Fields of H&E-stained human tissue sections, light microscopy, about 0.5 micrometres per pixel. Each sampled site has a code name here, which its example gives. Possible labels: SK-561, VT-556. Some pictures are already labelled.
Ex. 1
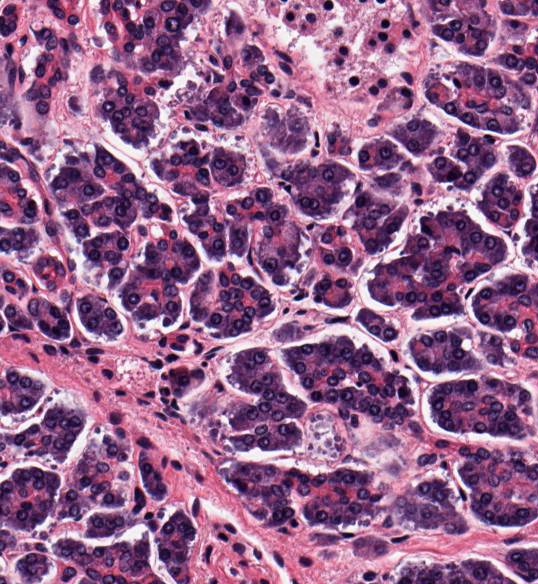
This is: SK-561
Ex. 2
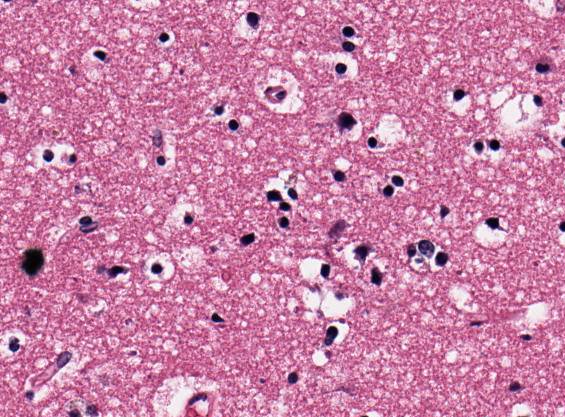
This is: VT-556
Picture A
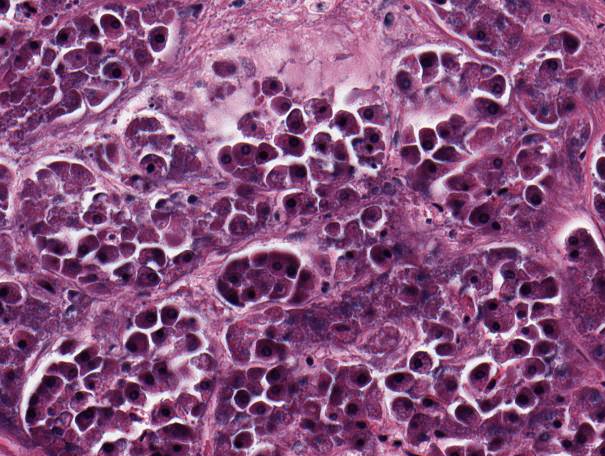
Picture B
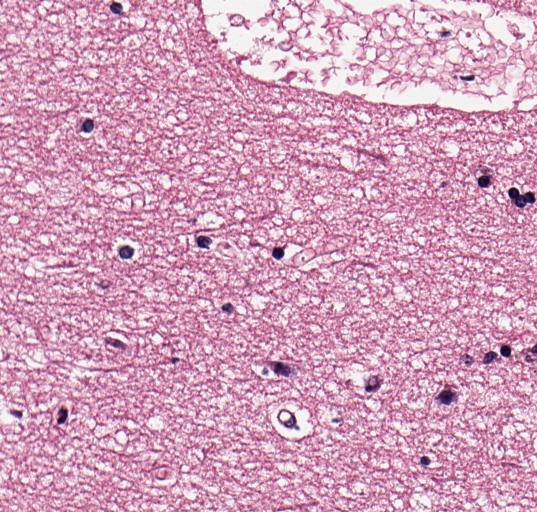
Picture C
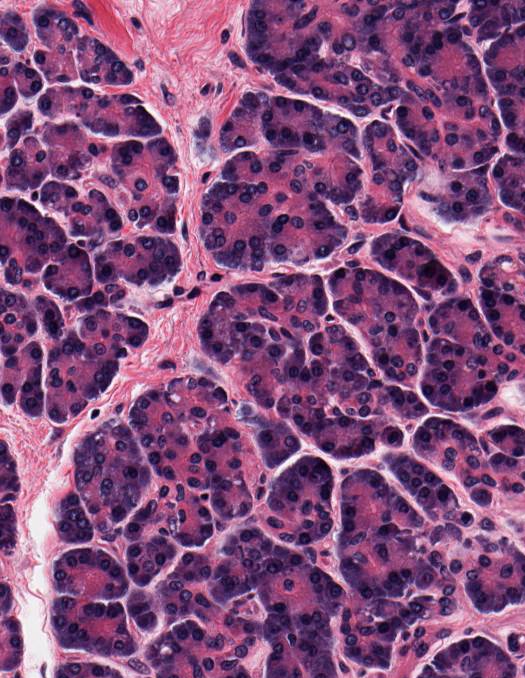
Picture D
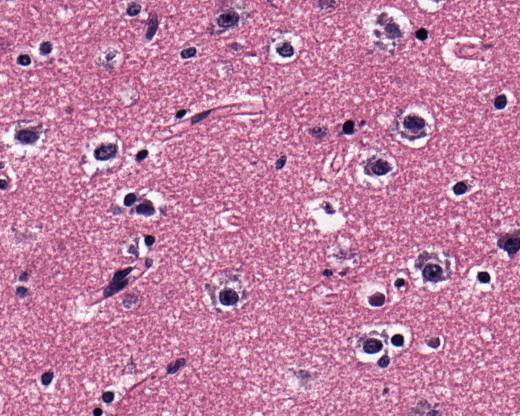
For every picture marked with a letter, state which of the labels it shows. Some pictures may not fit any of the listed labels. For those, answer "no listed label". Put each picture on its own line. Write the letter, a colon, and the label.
A: SK-561
B: VT-556
C: SK-561
D: VT-556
